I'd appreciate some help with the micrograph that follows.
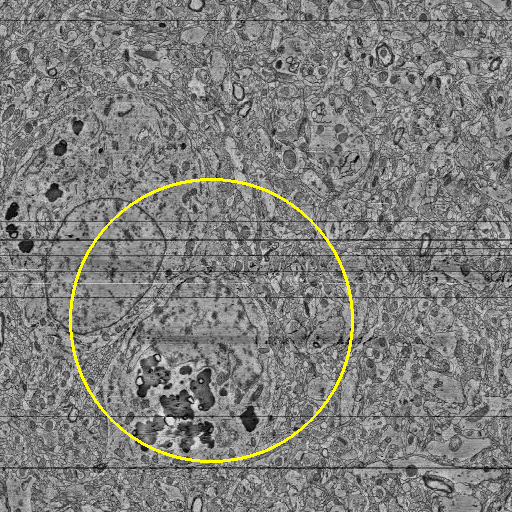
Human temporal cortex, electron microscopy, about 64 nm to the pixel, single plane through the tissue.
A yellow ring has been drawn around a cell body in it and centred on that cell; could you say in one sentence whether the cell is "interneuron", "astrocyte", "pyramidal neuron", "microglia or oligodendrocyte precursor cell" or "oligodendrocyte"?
It is an interneuron at the centre of the ring.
